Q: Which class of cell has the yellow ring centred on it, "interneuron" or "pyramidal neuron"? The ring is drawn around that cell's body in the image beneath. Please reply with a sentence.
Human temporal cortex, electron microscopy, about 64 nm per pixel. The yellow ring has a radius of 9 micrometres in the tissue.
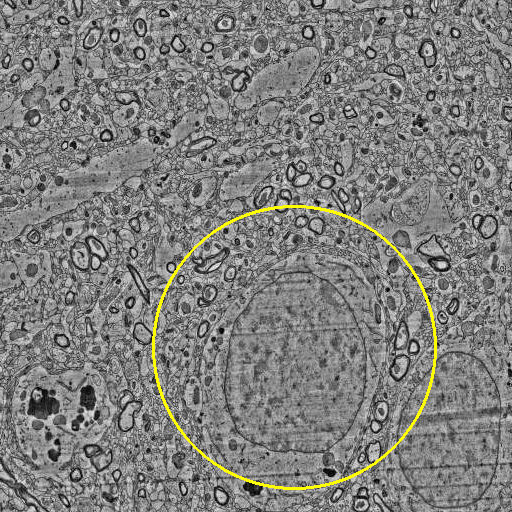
It is centred on a pyramidal neuron.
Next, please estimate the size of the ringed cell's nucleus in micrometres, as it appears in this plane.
About 11 micrometres by about 9 micrometres in this plane.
